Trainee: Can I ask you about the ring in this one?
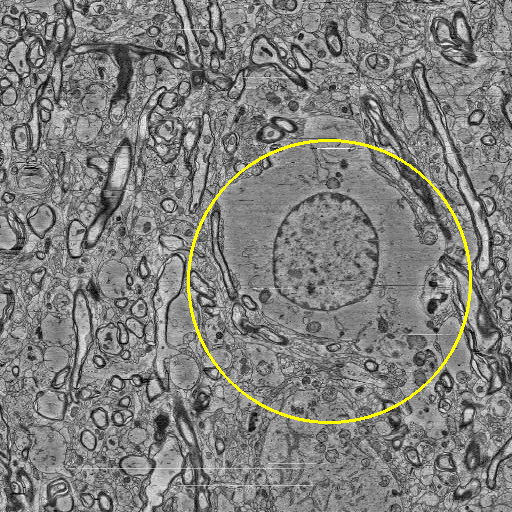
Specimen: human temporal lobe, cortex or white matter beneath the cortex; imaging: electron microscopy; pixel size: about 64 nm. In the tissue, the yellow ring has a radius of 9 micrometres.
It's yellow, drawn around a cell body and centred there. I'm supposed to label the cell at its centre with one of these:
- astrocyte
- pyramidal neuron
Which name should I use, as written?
astrocyte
